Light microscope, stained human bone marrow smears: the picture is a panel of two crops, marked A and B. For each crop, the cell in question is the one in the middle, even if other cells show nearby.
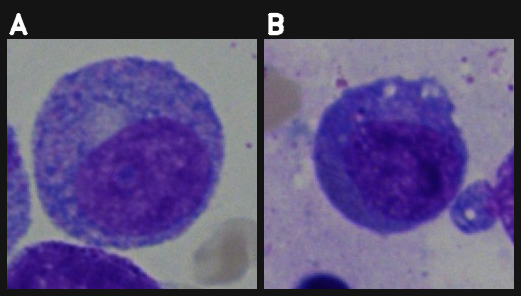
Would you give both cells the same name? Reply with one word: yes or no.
yes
